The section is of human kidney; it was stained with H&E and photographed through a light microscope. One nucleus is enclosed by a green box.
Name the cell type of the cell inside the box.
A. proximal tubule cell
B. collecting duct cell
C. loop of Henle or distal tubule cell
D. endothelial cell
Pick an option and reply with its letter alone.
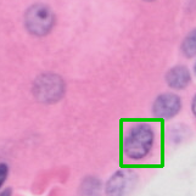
B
